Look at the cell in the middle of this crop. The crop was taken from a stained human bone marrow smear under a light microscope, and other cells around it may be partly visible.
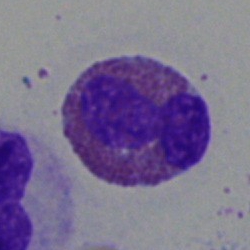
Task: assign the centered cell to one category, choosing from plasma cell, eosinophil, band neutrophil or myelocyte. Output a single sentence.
Seen at the centre of the crop is an eosinophil.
